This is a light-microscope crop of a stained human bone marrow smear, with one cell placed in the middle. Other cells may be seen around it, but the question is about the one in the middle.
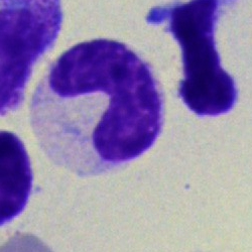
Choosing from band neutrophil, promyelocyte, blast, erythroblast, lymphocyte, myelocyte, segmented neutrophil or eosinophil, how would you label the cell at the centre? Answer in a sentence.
Standing at the centre of this crop is a band neutrophil.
